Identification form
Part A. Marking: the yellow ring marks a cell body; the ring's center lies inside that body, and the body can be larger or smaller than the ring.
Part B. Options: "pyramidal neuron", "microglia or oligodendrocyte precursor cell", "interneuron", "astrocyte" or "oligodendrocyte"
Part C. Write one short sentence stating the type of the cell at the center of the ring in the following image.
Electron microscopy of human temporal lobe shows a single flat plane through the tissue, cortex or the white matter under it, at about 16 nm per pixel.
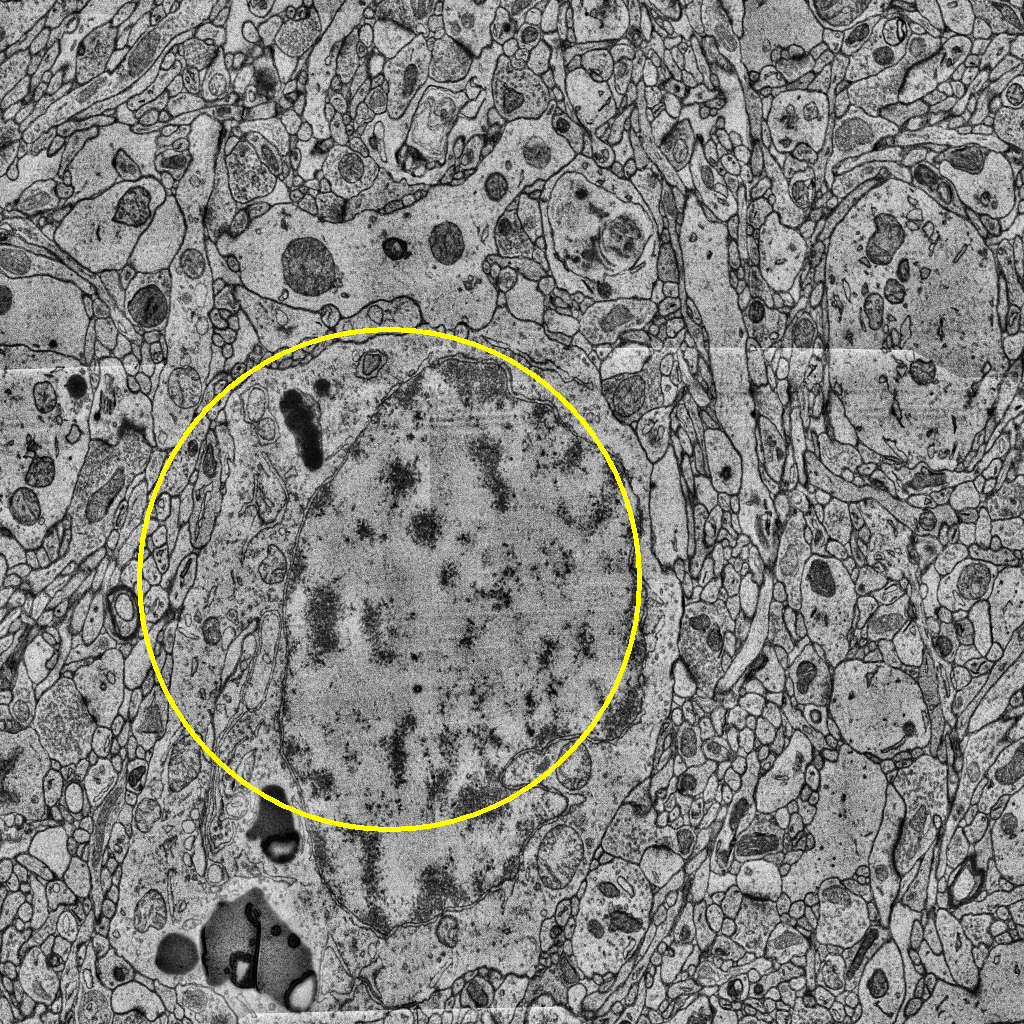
The center of the ring holds an interneuron.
